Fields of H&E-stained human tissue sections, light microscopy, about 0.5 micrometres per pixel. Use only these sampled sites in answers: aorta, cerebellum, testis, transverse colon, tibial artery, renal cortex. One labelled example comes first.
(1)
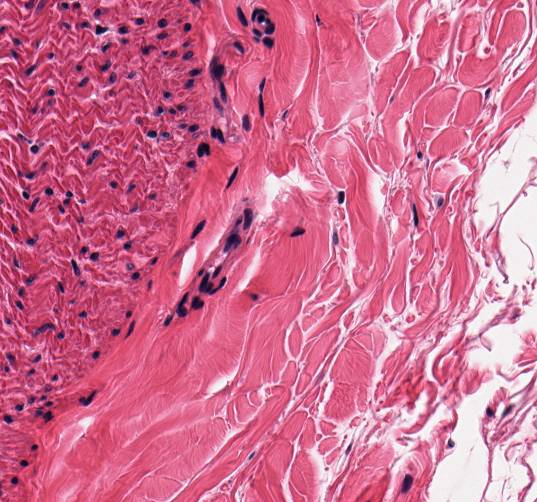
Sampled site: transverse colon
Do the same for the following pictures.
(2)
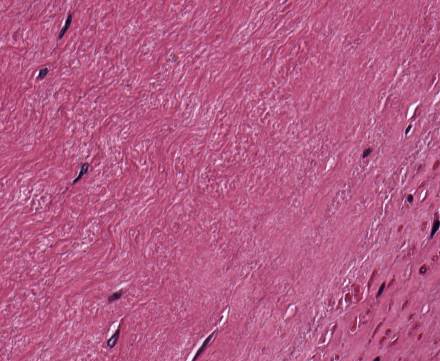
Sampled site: aorta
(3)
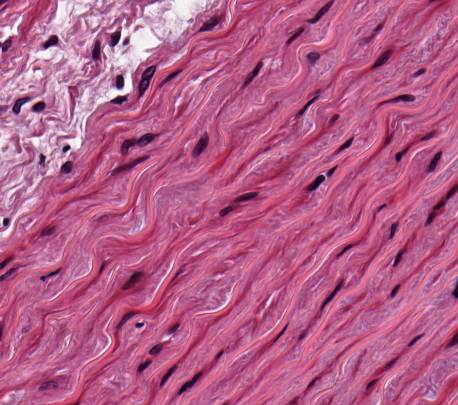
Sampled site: aorta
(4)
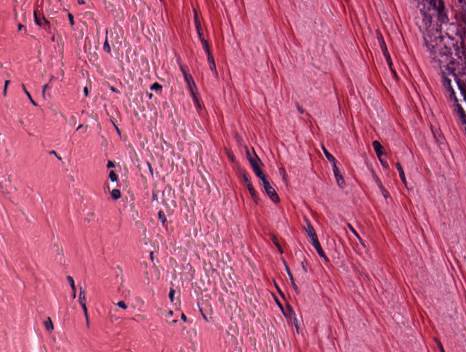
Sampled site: tibial artery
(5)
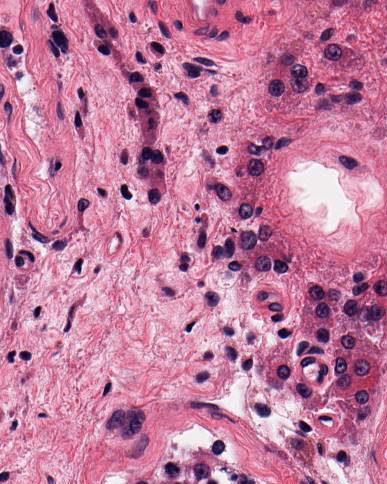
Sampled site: testis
